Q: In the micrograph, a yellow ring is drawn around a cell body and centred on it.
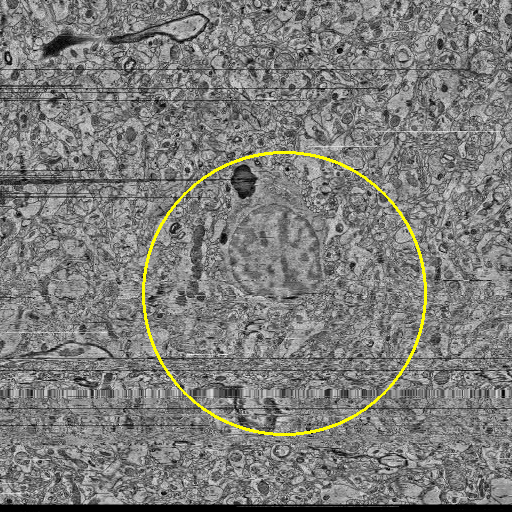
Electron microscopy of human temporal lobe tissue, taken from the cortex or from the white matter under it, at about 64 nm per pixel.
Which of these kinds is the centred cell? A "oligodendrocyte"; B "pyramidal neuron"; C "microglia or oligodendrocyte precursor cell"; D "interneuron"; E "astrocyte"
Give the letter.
A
